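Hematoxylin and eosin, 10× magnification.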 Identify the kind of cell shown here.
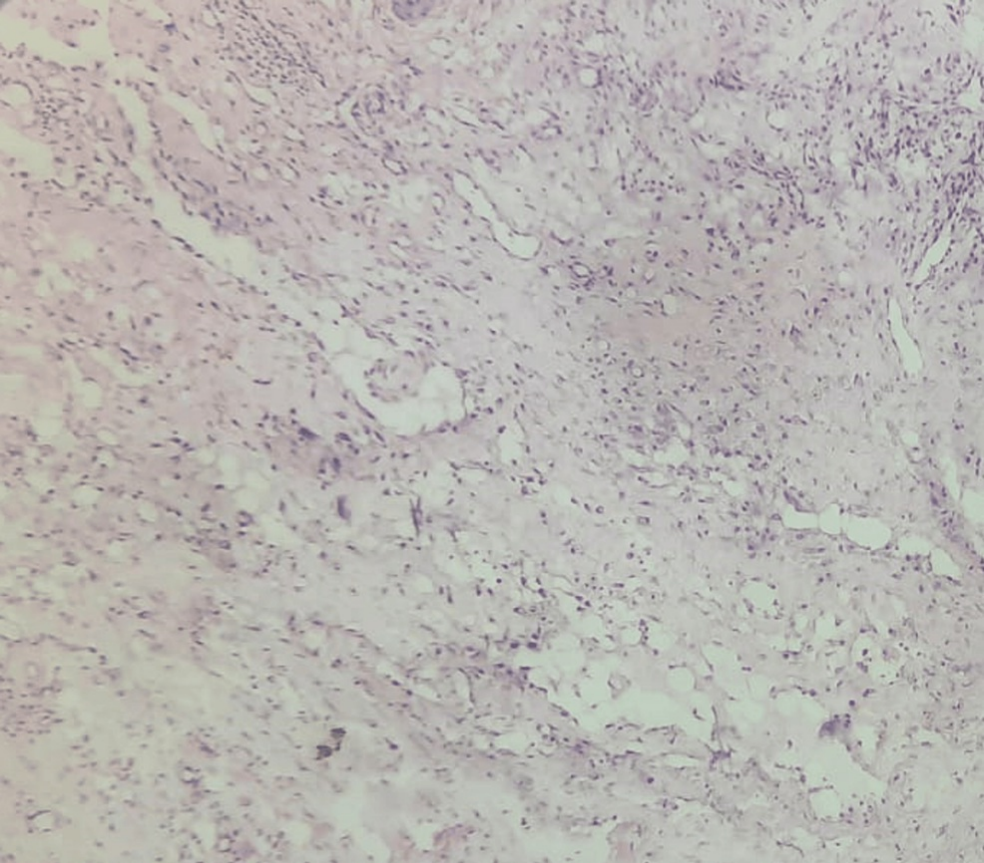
Inflammatory cells.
